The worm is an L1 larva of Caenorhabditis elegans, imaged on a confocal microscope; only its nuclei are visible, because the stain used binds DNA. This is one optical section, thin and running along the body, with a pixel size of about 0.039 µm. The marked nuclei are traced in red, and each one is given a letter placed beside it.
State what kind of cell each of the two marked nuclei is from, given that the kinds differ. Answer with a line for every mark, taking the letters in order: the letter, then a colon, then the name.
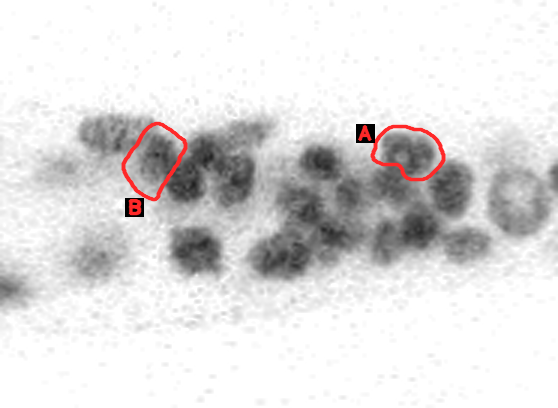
A: body wall muscle cell
B: P cell (ventral epidermal blast cell)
